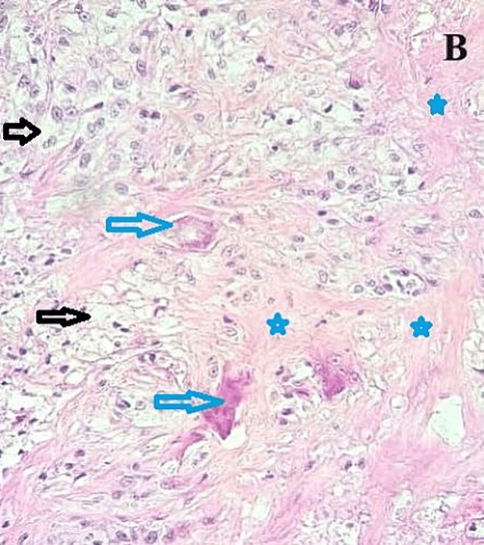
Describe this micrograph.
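This section shows a cellular lesion made up of pale foamy xanthoma-like cells, scattered multinucleated osteoclast-like giant cells and bands of hyalinized stroma. The foamy cells have abundant clear, finely vacuolated cytoplasm and small round to oval nuclei, and they lie in loose groups. Broad, glassy, homogeneous pink areas with few nuclei run between the cell groups, giving the stroma a hyalinized look.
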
